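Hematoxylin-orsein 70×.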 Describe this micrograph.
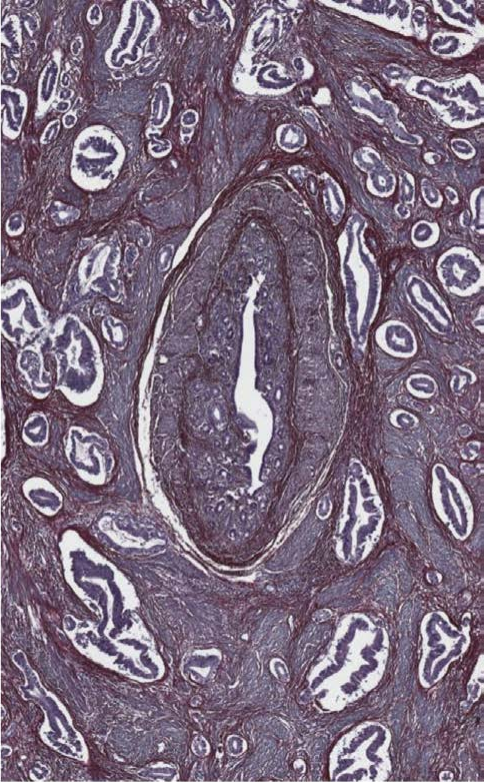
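Many irregular glands with pale lumens and purple-blue epithelium are scattered through a dense stroma stained grey-purple with darker brownish fibres. In the middle an oval structure is outlined by a condensed rim of dark fibres and a thin pale cleft separating it from the surrounding tissue. Inside it lies a slit-like central duct with a cluster of smaller ductular profiles around it, set in its own layered stroma. The surrounding glands lie loosely in the stroma without such a fibrous rim.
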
